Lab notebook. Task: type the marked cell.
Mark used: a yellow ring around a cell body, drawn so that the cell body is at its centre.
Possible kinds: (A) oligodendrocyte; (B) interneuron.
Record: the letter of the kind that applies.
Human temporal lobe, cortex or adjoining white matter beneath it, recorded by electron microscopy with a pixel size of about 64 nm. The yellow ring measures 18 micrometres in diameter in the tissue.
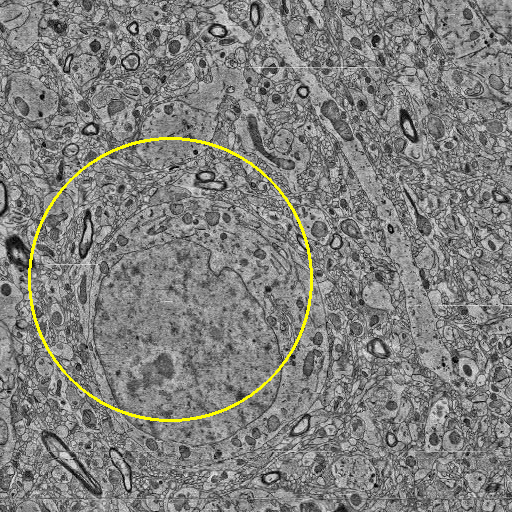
B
